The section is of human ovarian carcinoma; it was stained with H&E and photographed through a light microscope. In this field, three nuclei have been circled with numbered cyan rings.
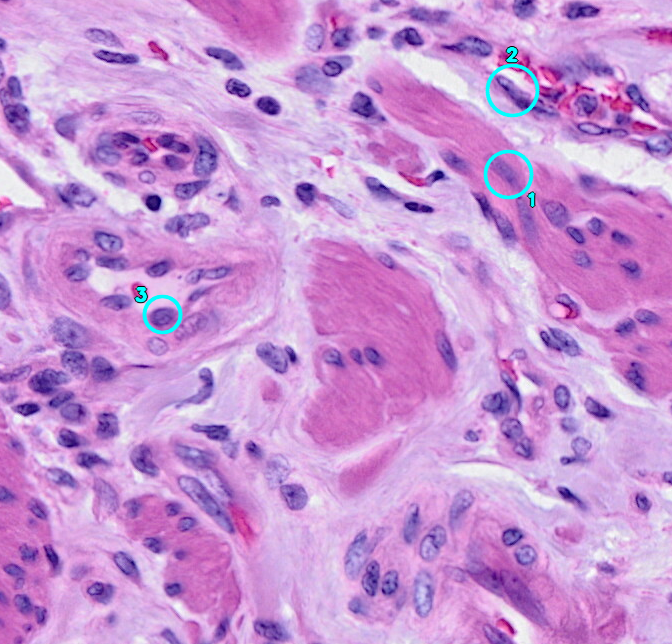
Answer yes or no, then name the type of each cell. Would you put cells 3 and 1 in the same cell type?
No, the cell numbered 3 is an endothelial cell, and the cell numbered 1 is a smooth muscle cell.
